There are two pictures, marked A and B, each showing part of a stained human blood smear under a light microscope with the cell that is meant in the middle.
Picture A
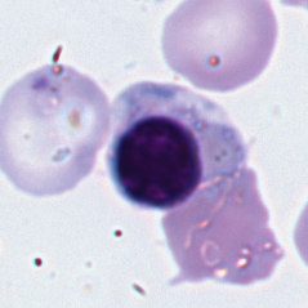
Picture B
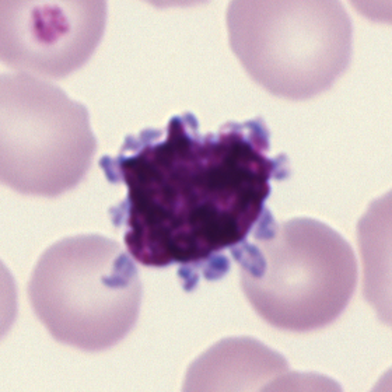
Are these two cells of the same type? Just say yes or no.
no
